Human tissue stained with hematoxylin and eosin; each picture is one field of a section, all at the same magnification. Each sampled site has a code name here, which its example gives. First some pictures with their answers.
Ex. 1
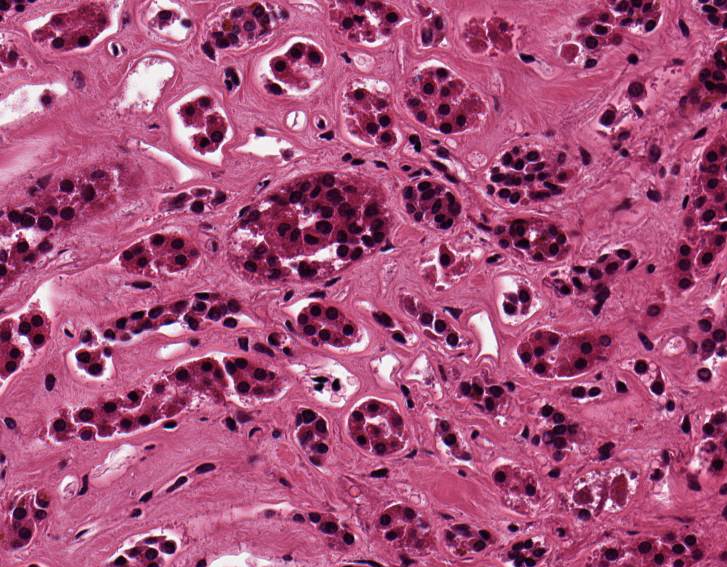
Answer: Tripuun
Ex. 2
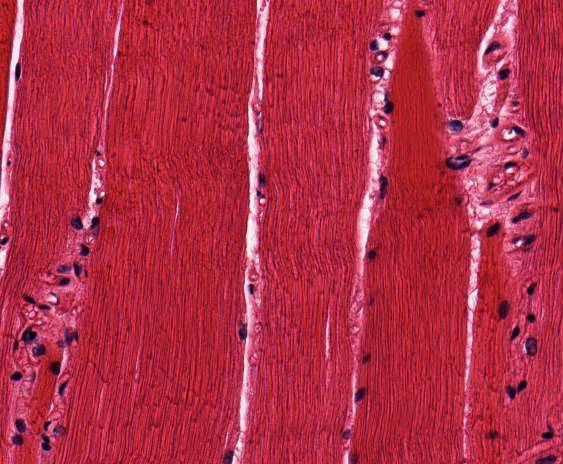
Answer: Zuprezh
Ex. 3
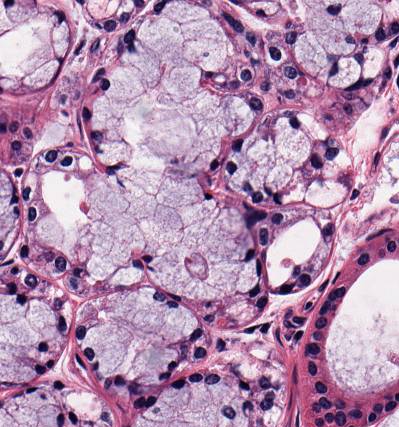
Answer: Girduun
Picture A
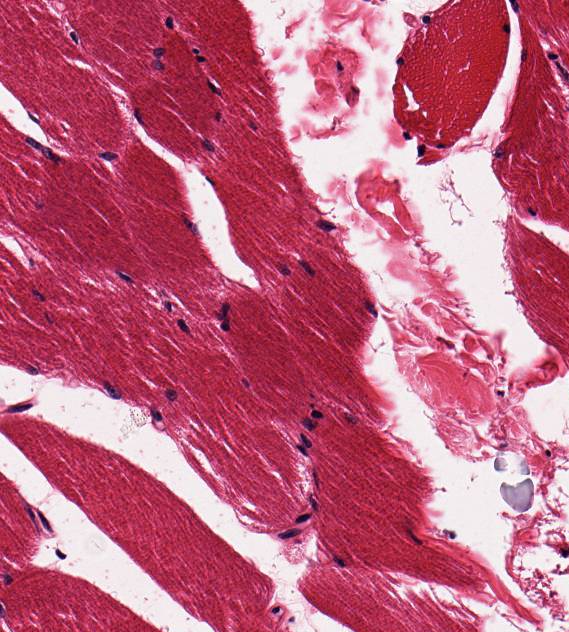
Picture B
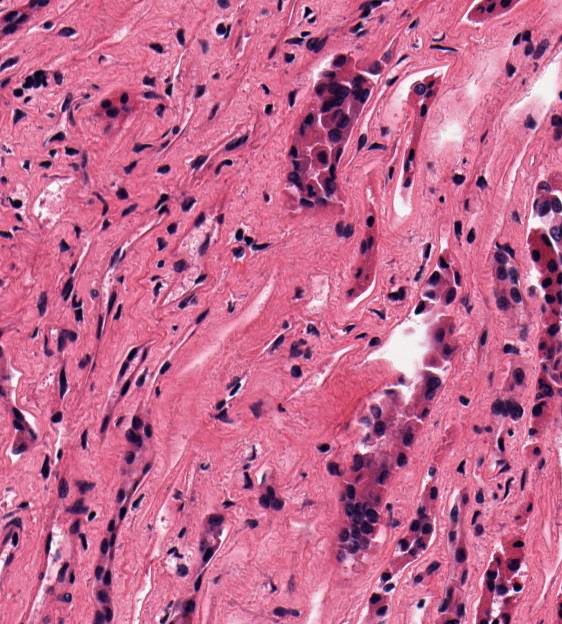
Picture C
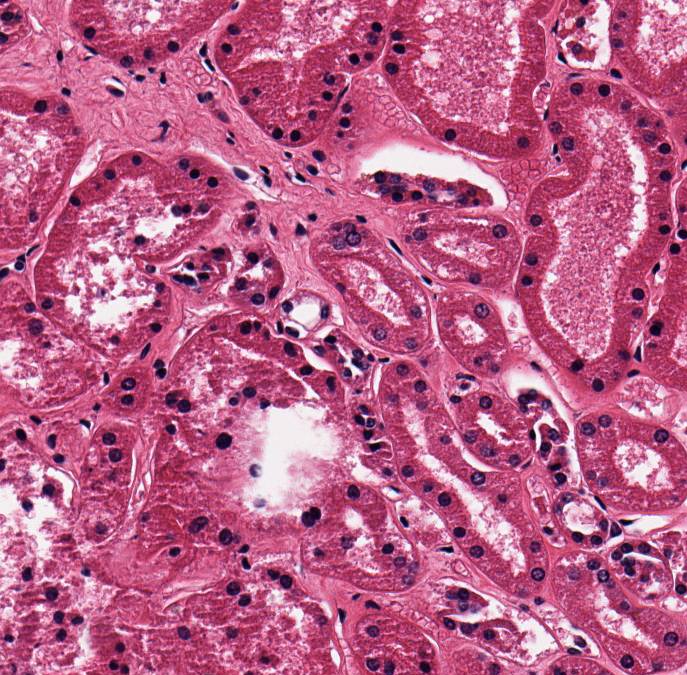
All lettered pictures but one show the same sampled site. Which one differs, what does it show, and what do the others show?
A differs and shows Zuprezh; the others show Tripuun.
